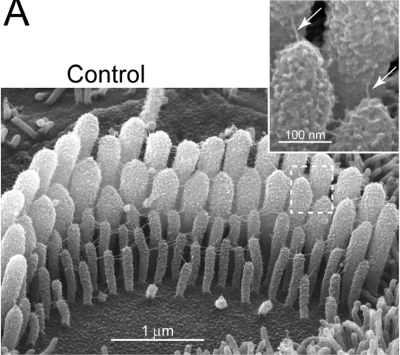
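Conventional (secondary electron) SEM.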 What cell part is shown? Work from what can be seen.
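Rows of finger-like projections with rounded tips rise from a cell surface. The projections are arranged in rows of graded height.
Answer: stereocilia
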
